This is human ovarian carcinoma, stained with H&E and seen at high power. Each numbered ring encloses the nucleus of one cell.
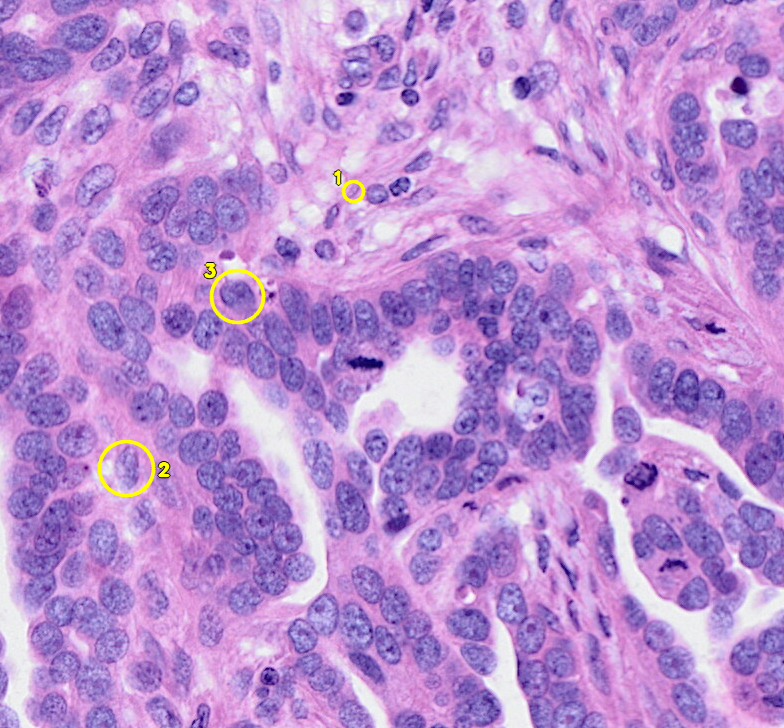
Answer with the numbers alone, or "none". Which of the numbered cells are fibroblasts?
1, 2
